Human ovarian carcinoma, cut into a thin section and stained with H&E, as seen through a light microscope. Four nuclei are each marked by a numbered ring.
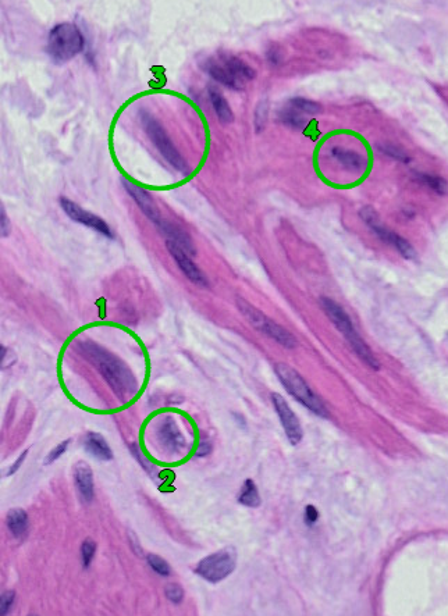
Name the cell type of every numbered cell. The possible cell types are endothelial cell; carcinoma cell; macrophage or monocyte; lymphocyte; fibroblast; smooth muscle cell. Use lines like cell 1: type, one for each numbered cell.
cell 1: smooth muscle cell
cell 2: endothelial cell
cell 3: smooth muscle cell
cell 4: smooth muscle cell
